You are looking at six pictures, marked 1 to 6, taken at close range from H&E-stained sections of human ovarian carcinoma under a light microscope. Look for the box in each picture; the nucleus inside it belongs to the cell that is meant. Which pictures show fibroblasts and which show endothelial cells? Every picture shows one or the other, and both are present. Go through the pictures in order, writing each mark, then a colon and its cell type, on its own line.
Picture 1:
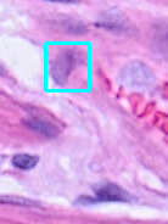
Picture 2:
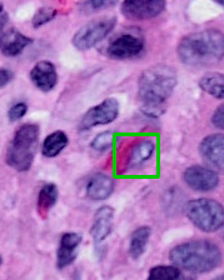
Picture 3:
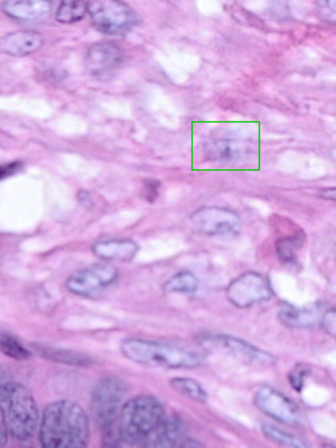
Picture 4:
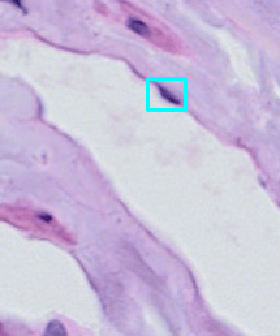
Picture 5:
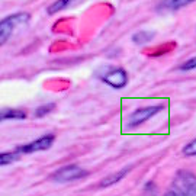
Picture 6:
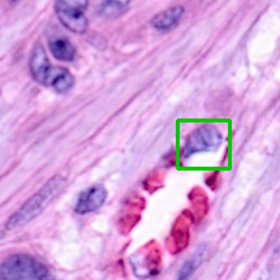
1: endothelial cell
2: endothelial cell
3: fibroblast
4: endothelial cell
5: fibroblast
6: endothelial cell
